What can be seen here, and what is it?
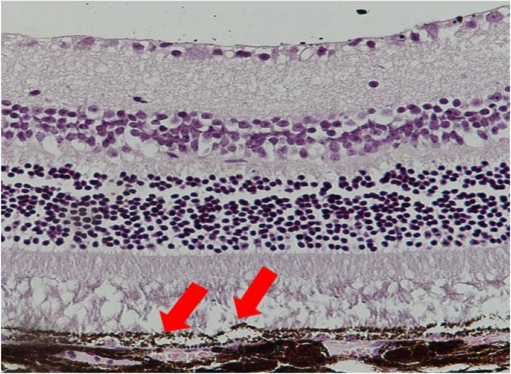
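A section of retina stained with hematoxylin and eosin shows the ganglion cell row, a pink inner plexiform layer, an inner nuclear layer of purple nuclei, a thin outer plexiform layer and an outer nuclear layer of dark round nuclei. The photoreceptor segment zone beneath is disorganised: instead of orderly striated bands it is pale and filled with clear, rounded vacuole-like spaces. The dark brown-black pigmented epithelium at the bottom is uneven and broken, with small gaps and lifted fragments where two arrows point to the damaged outer retina.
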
